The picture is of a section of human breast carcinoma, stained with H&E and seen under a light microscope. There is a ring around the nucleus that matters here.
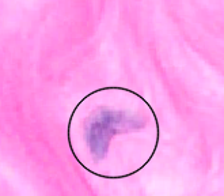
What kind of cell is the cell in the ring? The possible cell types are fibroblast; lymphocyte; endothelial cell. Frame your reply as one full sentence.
What the cell in the ring represents is a fibroblast.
